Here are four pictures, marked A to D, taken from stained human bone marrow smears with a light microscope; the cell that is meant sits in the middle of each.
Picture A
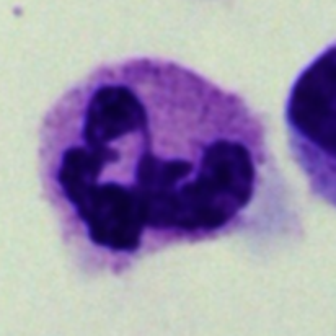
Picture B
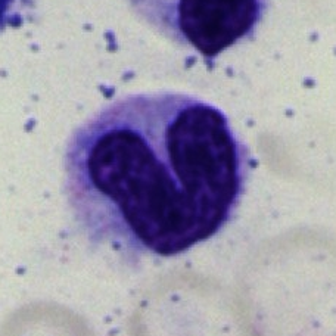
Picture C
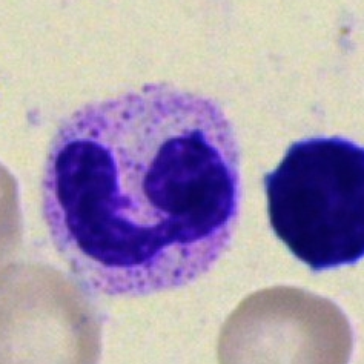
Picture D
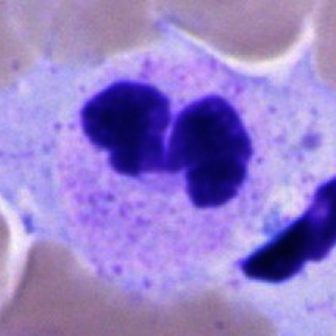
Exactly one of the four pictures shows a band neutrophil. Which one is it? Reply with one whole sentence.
The band neutrophil is the one in picture B.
